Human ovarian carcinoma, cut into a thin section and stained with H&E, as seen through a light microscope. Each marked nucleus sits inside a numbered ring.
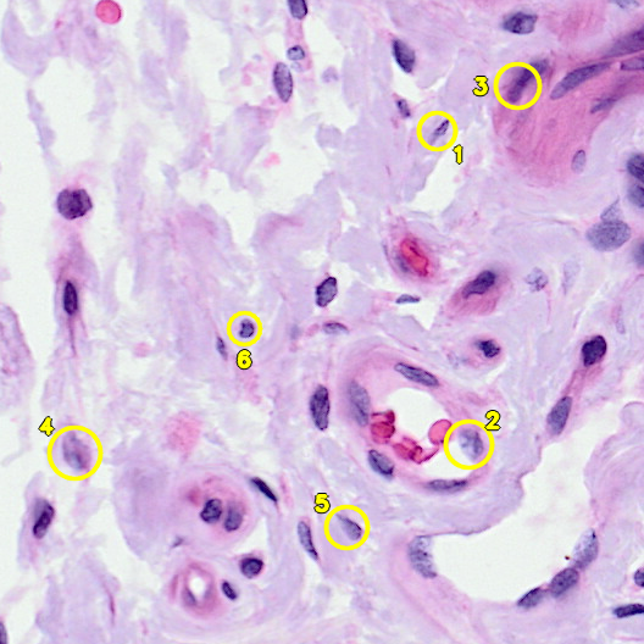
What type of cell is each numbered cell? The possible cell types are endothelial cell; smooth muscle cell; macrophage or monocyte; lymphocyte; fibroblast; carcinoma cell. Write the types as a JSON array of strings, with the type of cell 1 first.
["fibroblast", "endothelial cell", "smooth muscle cell", "fibroblast", "fibroblast", "lymphocyte"]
